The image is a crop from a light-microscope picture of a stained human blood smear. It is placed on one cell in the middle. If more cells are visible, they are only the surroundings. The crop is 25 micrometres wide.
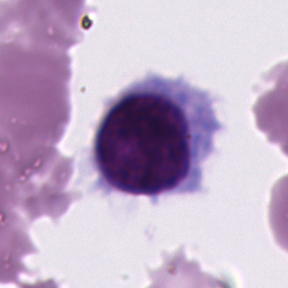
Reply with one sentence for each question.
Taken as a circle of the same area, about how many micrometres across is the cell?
Taken as a circle, the cell has a diameter of about 11 micrometres.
